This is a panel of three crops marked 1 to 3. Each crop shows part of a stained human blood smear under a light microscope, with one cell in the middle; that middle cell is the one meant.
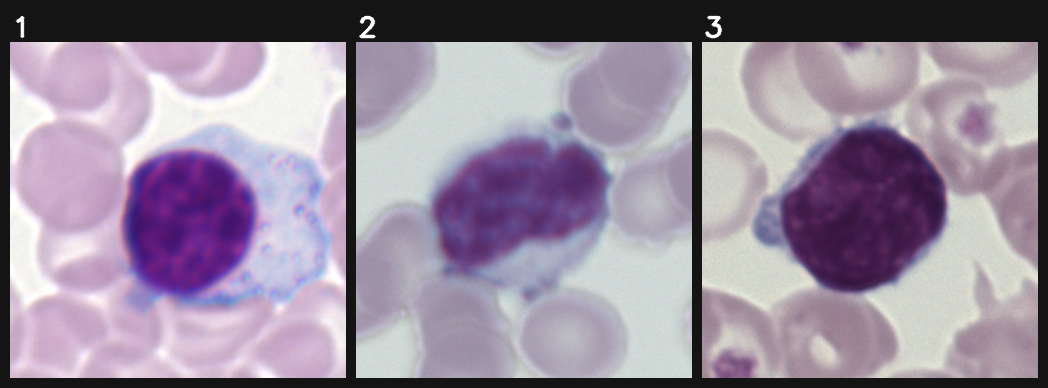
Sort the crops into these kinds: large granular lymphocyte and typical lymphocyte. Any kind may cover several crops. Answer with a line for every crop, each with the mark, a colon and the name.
1: large granular lymphocyte
2: typical lymphocyte
3: typical lymphocyte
